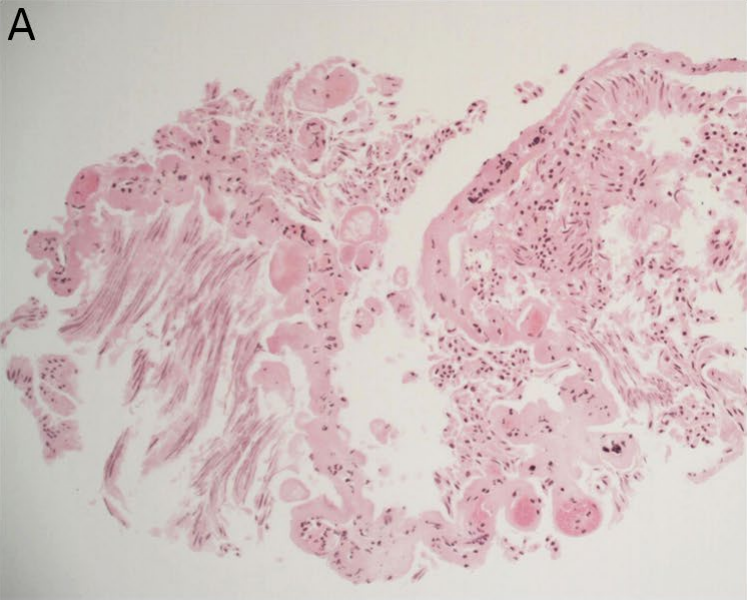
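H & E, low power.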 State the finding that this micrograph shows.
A: Papillary pattern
